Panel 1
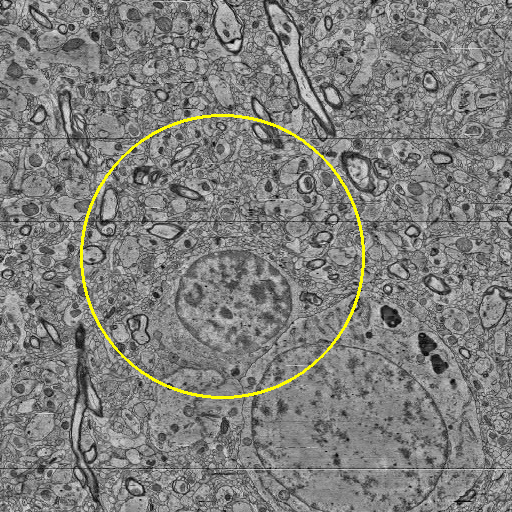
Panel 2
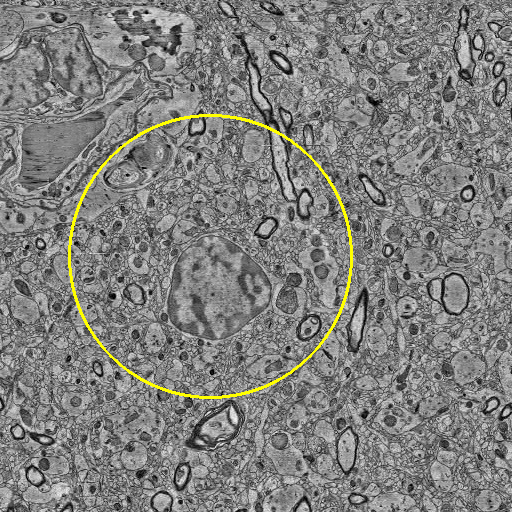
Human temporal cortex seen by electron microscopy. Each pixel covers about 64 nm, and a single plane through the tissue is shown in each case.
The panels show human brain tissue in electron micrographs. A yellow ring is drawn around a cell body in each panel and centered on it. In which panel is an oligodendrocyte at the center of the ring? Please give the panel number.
1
